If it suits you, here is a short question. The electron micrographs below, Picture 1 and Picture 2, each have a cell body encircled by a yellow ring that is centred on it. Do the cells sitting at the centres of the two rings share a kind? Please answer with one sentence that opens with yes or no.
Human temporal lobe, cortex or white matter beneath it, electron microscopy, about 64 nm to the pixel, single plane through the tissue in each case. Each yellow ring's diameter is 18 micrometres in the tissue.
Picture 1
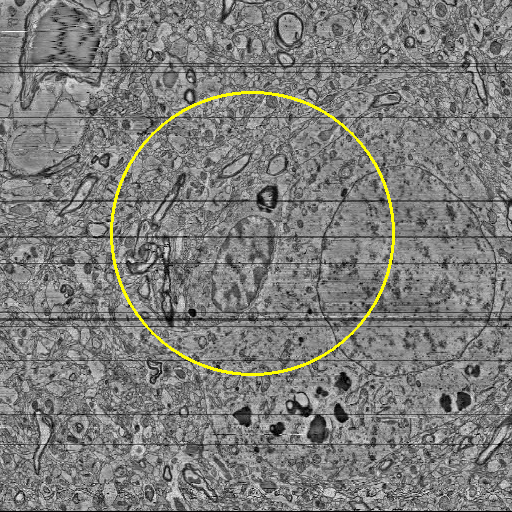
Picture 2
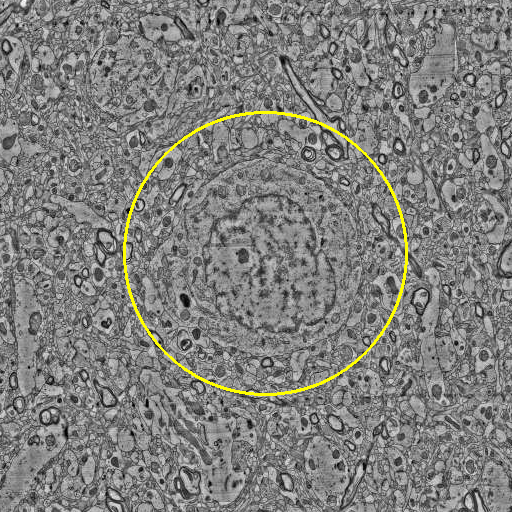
No, the two cells sitting at the ring centres fall into two kinds.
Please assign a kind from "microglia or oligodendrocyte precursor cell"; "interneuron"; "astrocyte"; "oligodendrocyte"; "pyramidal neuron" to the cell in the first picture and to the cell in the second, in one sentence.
In the first picture we have an oligodendrocyte, and in the second, an interneuron.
